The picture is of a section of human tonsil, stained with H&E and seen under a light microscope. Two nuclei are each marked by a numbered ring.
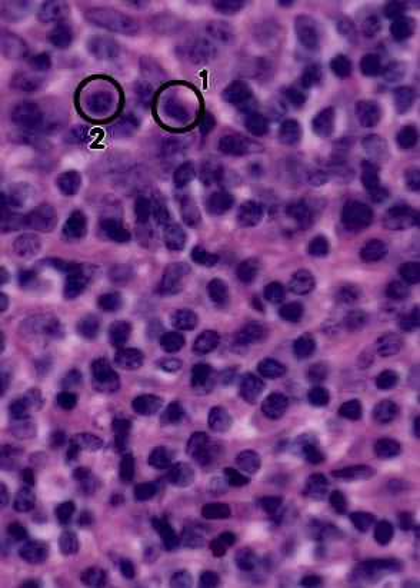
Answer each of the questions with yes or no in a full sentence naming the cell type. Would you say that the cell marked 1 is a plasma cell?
No, cell number 1 is identified as a squamous epithelial cell, not as a plasma cell.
